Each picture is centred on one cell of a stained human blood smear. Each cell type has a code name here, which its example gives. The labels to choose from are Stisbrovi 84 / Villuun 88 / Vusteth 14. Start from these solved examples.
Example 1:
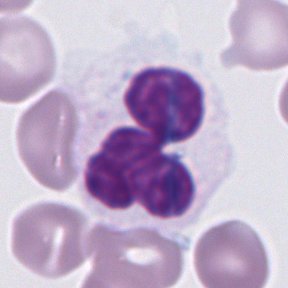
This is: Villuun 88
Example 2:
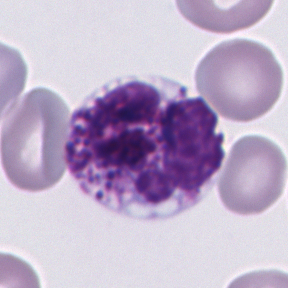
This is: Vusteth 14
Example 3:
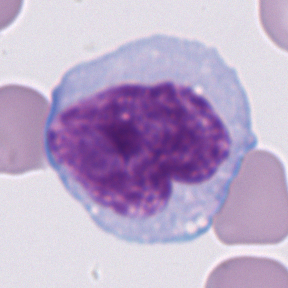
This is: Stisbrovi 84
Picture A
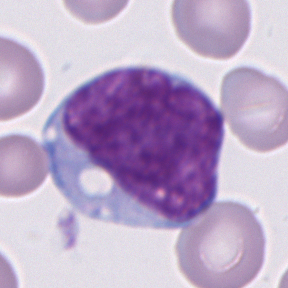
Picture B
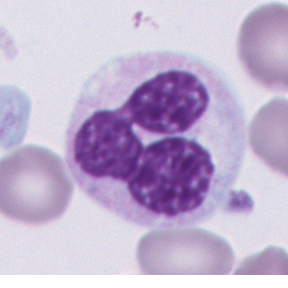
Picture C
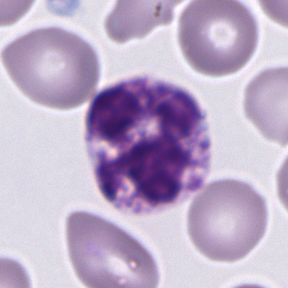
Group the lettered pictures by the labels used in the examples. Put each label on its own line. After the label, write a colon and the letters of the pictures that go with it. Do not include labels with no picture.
Stisbrovi 84: A
Villuun 88: B
Vusteth 14: C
